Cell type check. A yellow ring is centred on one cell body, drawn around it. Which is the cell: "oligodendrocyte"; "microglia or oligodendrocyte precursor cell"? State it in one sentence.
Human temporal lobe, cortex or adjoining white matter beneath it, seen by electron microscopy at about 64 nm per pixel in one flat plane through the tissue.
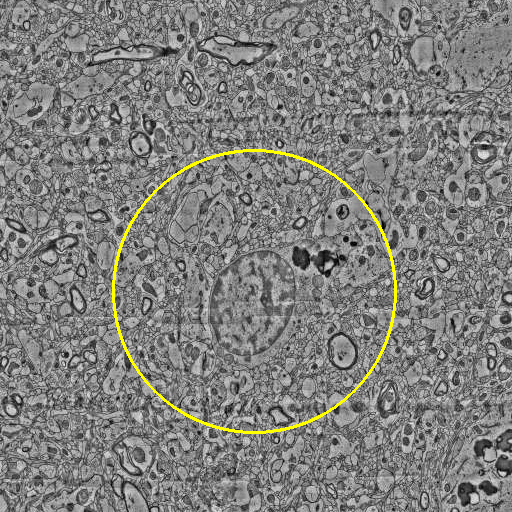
The cell body at the ring's centre belongs to an oligodendrocyte.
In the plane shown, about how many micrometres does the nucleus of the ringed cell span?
Approximately 7 micrometres long and 5 micrometres wide, in this plane.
